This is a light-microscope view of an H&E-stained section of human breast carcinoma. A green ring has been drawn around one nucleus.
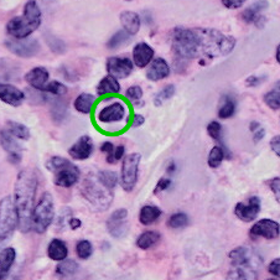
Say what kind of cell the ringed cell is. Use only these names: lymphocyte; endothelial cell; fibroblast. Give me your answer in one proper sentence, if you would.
The identity of the ringed cell is that of a lymphocyte.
